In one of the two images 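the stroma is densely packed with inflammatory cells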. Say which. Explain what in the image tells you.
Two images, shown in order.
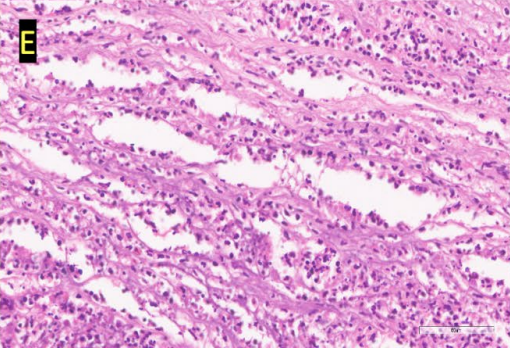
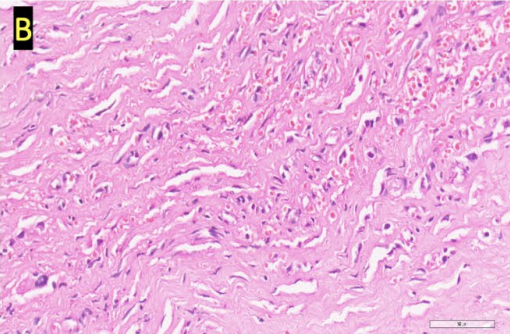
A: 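First image: crowded sheets of small dark nuclei fill the spaces between lamellae. Second image: inflammatory cells are scattered sparsely among pink collagen lamellae. That points to this answer: the first image.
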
